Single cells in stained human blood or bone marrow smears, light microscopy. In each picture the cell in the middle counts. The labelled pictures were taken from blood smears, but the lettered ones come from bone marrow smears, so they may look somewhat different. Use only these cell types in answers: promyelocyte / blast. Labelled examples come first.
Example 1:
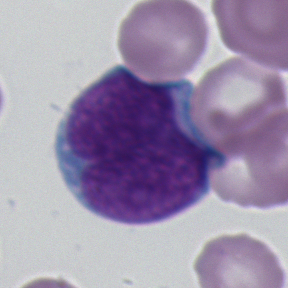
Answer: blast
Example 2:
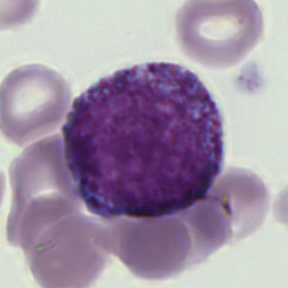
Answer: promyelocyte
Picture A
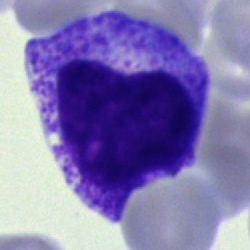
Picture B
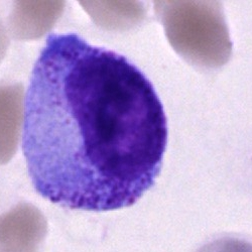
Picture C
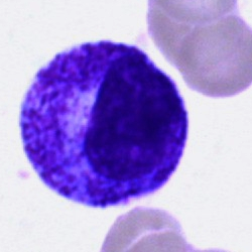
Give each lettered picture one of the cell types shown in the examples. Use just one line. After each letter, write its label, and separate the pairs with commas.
A promyelocyte, B promyelocyte, C promyelocyte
